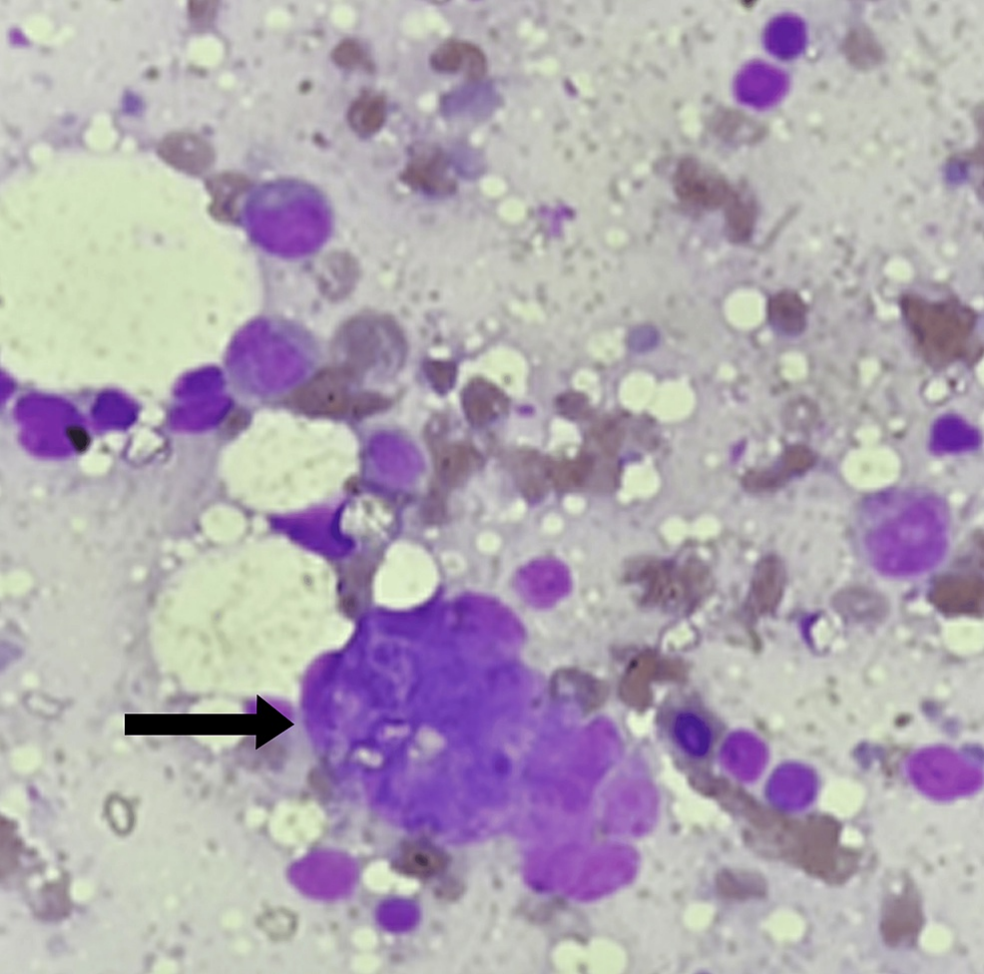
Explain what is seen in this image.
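A bone marrow aspirate smear shows scattered nucleated marrow cells with purple nuclei among large pale round fat spaces and many small clear vacuoles. Near the centre lies a large cell with several rounded, deeply purple nuclear masses, one of which buds out from the rest. The neighbouring cells are much smaller, with single round purple nuclei.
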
